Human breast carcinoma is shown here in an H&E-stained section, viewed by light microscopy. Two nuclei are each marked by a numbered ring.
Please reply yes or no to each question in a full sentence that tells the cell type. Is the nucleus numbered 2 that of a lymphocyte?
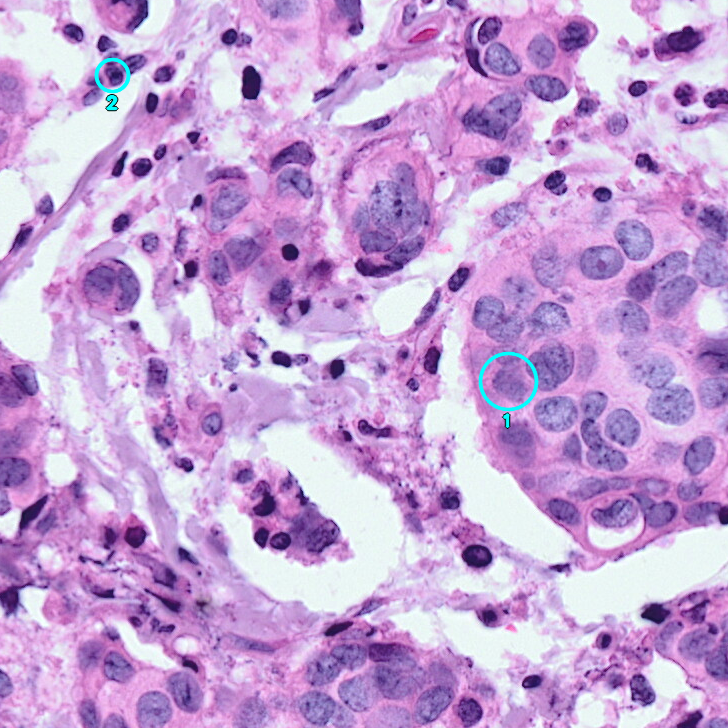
Yes, the cell numbered 2 in this tissue is a lymphocyte.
